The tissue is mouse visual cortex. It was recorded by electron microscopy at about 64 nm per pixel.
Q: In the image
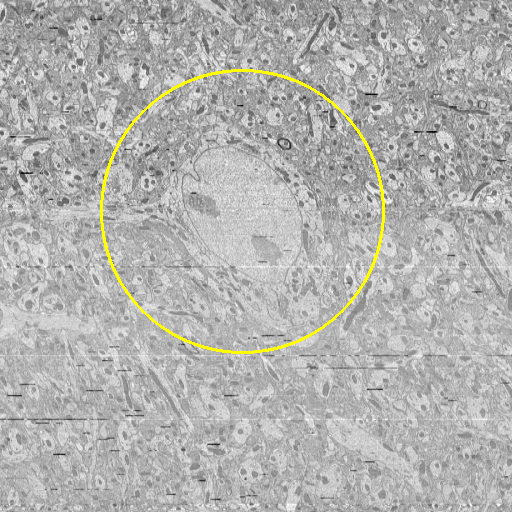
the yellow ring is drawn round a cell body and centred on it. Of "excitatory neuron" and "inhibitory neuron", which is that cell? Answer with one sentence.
The cell centred in the ring is an excitatory neuron.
